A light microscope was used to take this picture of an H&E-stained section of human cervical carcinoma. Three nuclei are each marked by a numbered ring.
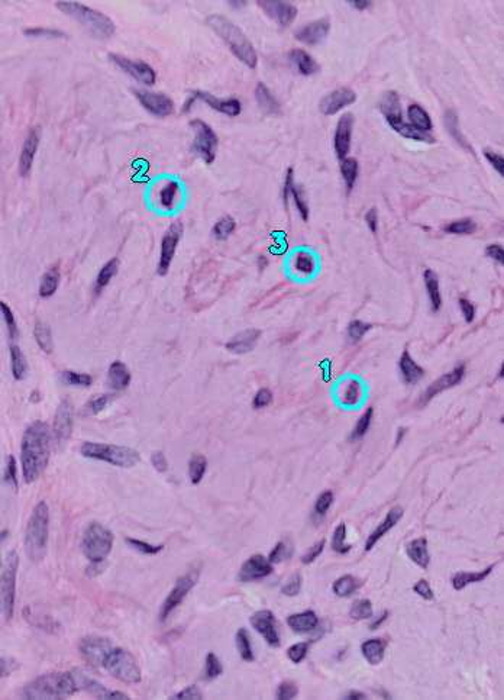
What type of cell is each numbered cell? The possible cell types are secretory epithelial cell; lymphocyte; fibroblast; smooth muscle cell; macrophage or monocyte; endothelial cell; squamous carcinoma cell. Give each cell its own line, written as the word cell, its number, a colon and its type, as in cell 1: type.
cell 1: smooth muscle cell
cell 2: fibroblast
cell 3: fibroblast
